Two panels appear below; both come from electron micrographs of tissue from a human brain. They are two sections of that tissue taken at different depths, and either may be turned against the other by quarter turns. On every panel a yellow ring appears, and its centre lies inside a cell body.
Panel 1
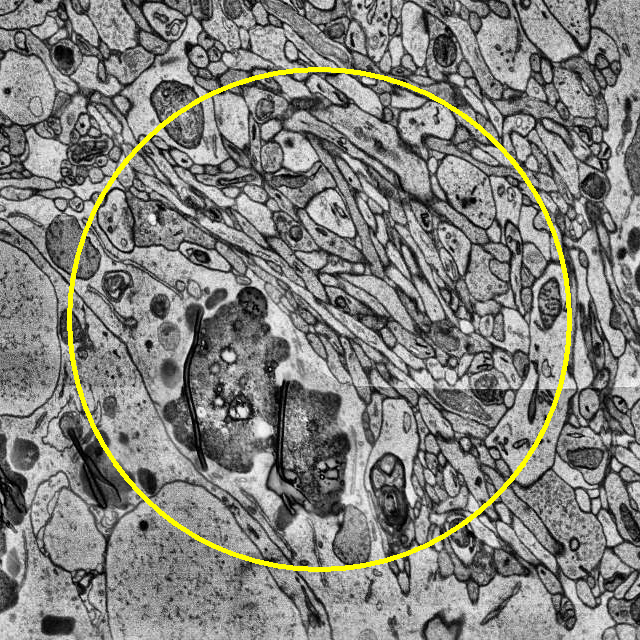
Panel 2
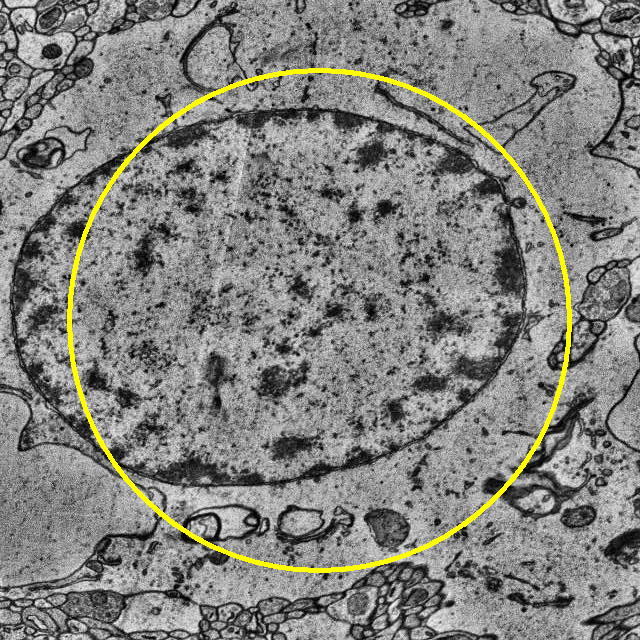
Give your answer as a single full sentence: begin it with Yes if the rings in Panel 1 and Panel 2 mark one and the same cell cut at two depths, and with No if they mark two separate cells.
Yes, one and the same cell lies under both rings.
